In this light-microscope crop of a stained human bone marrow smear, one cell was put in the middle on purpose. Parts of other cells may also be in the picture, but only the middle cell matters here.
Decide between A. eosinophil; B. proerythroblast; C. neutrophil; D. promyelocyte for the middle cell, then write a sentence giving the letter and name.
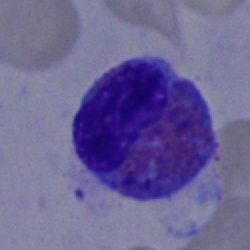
Here the right option is A, as the cell in the middle is an eosinophil.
